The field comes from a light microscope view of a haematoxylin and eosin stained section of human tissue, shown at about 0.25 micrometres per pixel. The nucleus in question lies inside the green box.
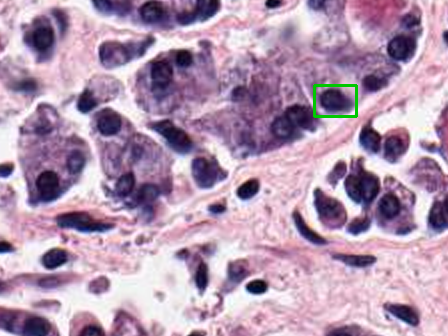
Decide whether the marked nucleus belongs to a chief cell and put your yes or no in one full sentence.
Yes, the marked nucleus is part of a chief cell.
